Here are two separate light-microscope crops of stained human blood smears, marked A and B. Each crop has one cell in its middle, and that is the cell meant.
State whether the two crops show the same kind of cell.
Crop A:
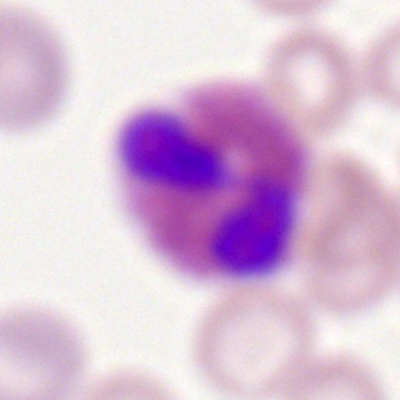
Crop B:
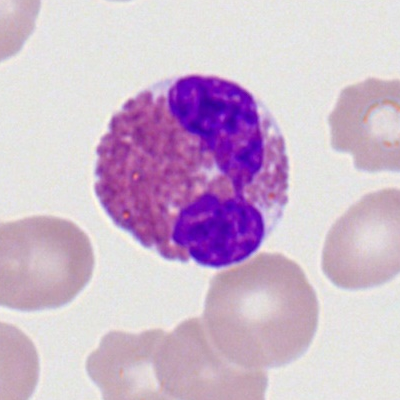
yes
